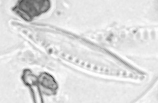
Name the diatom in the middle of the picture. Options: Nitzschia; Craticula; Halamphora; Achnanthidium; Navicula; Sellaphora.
Nitzschia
